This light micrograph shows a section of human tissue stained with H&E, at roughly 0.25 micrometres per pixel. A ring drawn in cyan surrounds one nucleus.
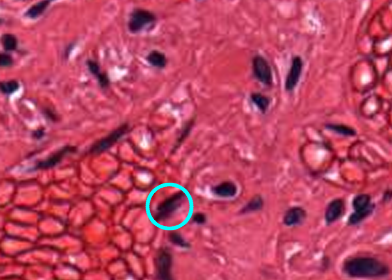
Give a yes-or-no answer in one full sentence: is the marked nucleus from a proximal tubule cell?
No, the marked nucleus is not part of a proximal tubule cell and instead belongs to a supporting cell.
